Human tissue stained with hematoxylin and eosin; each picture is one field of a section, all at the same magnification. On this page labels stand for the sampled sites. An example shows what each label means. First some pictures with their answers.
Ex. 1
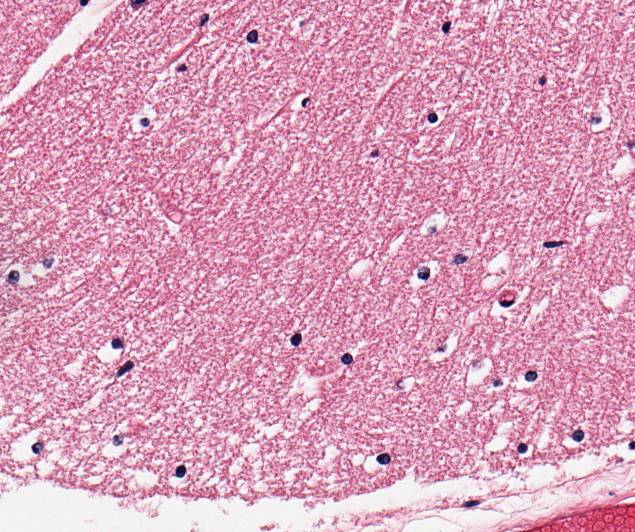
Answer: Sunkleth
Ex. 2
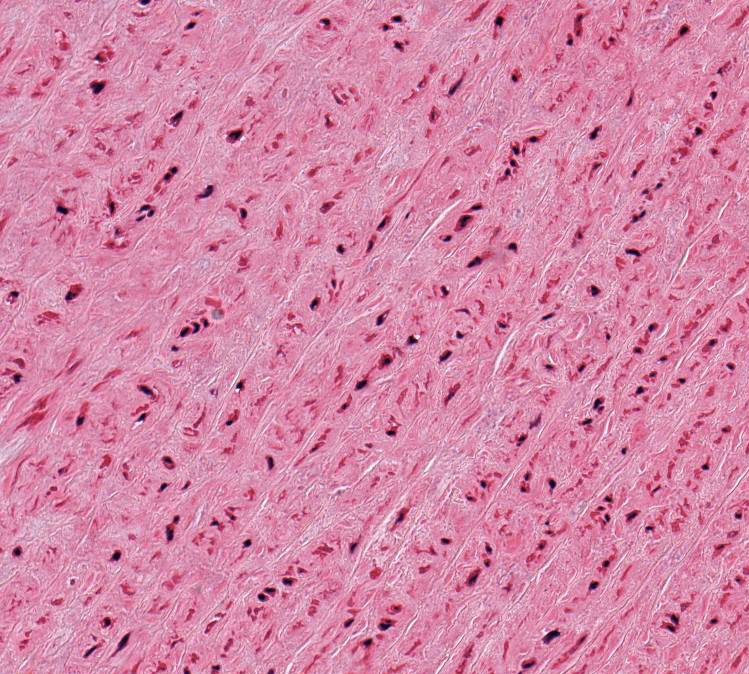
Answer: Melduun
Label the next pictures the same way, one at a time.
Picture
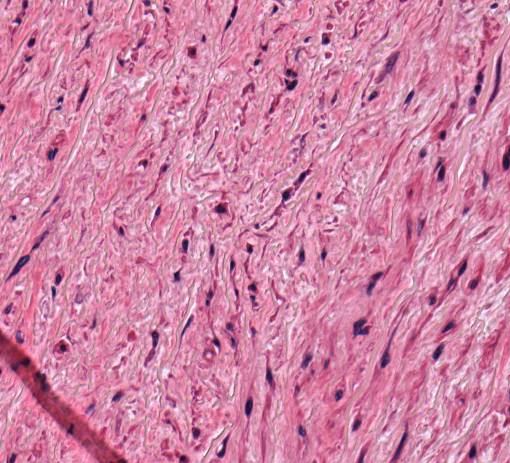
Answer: Melduun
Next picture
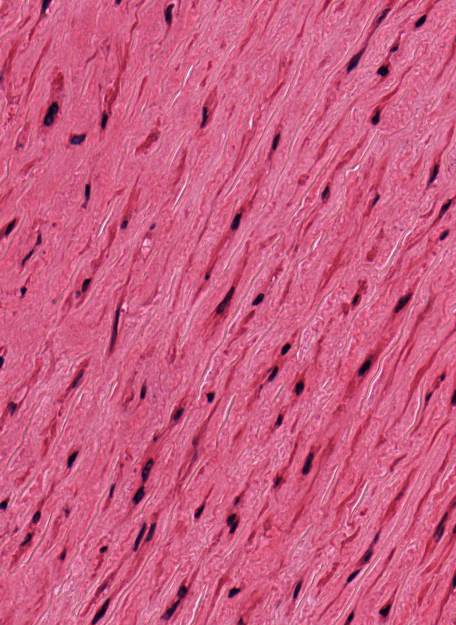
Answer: Melduun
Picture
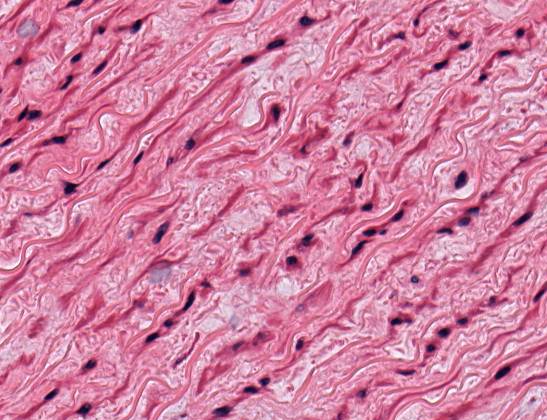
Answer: Melduun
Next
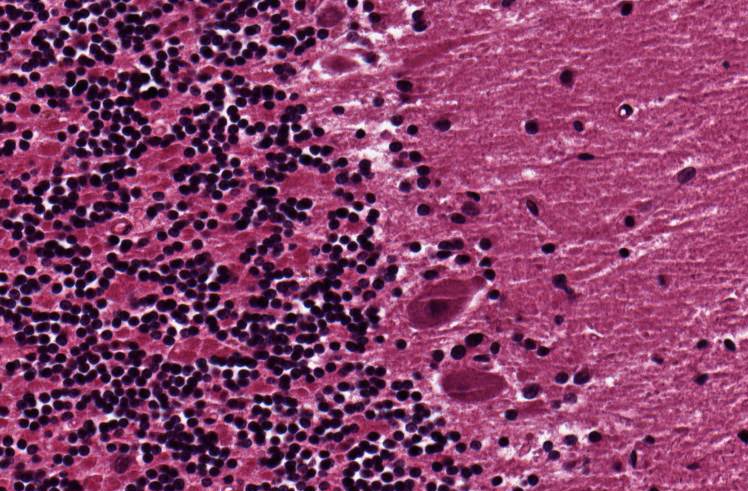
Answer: Sunkleth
